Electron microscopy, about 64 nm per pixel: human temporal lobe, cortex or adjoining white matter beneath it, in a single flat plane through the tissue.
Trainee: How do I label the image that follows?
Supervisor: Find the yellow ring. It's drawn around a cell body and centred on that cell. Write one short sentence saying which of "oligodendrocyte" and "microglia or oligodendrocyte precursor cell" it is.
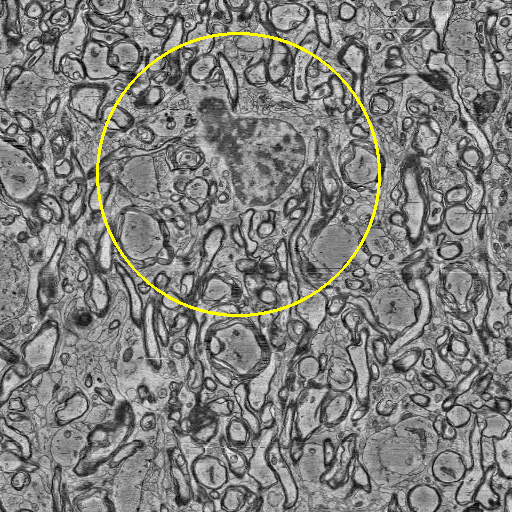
This is the cell body of a microglial cell or oligodendrocyte precursor cell.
